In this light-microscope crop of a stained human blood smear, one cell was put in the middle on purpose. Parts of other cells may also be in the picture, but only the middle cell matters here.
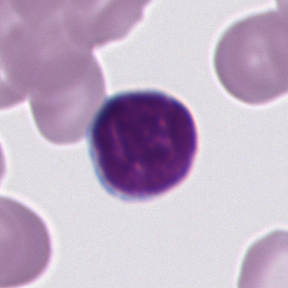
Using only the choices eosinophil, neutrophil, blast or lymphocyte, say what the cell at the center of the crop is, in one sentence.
The central cell, amid any neighbouring cells, is a lymphocyte.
